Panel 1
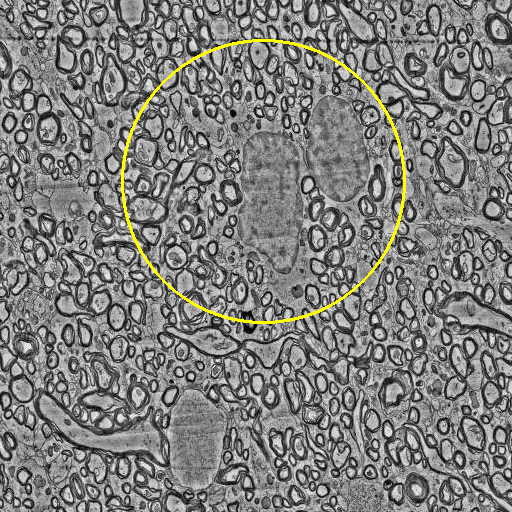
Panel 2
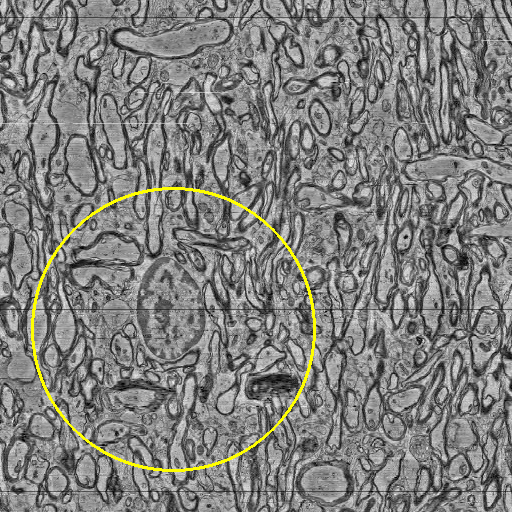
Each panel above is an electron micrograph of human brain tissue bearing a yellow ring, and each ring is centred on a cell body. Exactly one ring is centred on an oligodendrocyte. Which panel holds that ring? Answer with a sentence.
That ring is in Panel 1.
